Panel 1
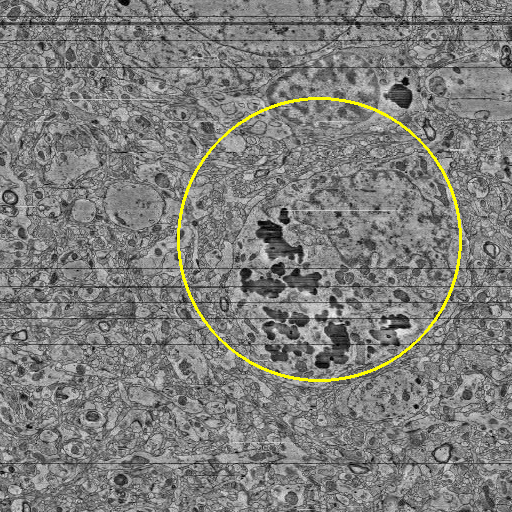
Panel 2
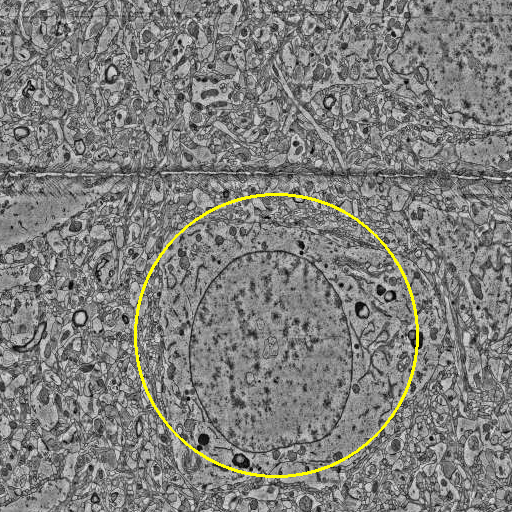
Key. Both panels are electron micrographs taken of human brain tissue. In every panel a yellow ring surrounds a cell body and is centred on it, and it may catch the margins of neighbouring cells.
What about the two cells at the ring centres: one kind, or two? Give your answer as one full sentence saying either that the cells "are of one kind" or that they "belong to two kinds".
Across Panels 1 and 2, the two cells at the ring centres belong to two kinds.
